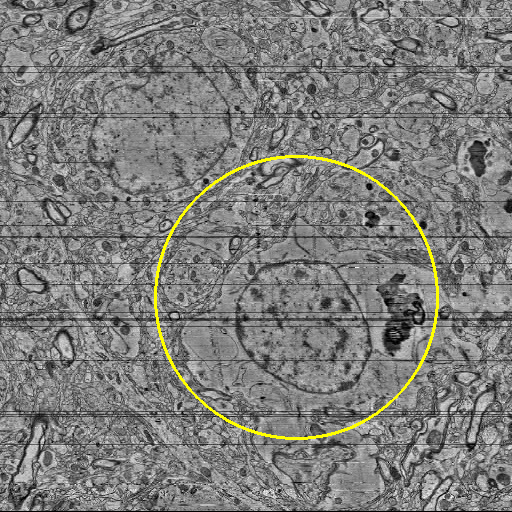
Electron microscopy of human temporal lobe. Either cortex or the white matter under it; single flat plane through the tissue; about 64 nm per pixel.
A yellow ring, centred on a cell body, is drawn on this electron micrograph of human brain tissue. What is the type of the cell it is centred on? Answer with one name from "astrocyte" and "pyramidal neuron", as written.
astrocyte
